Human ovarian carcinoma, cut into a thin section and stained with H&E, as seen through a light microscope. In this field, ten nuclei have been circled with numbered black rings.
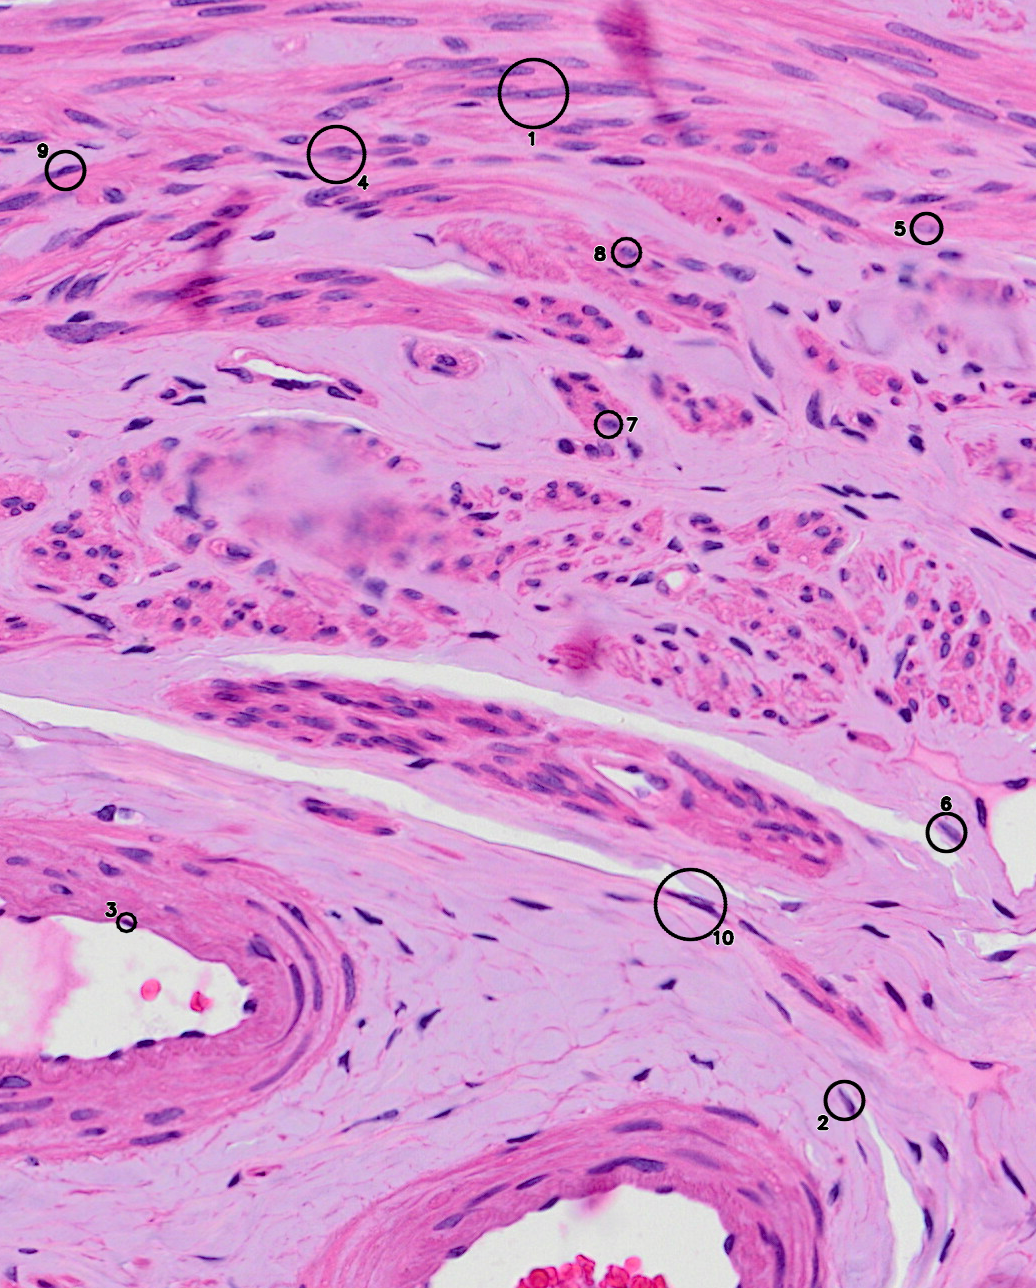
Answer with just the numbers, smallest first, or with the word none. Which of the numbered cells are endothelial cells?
3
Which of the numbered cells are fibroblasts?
2, 6, 10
